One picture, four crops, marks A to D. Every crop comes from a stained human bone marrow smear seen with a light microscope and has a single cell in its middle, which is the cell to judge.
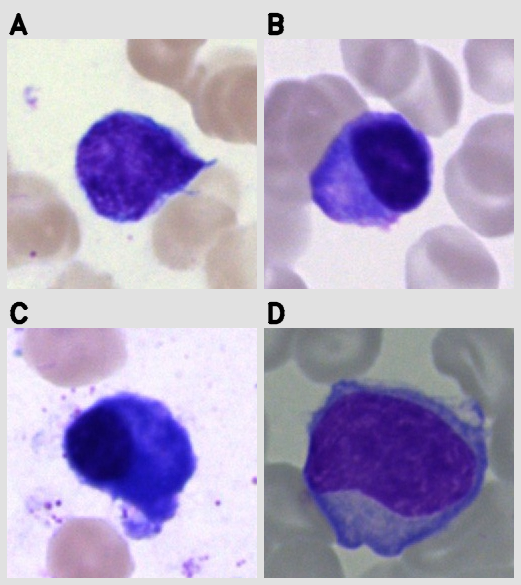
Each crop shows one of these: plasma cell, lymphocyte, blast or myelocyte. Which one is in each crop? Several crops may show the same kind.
A: blast
B: plasma cell
C: plasma cell
D: blast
